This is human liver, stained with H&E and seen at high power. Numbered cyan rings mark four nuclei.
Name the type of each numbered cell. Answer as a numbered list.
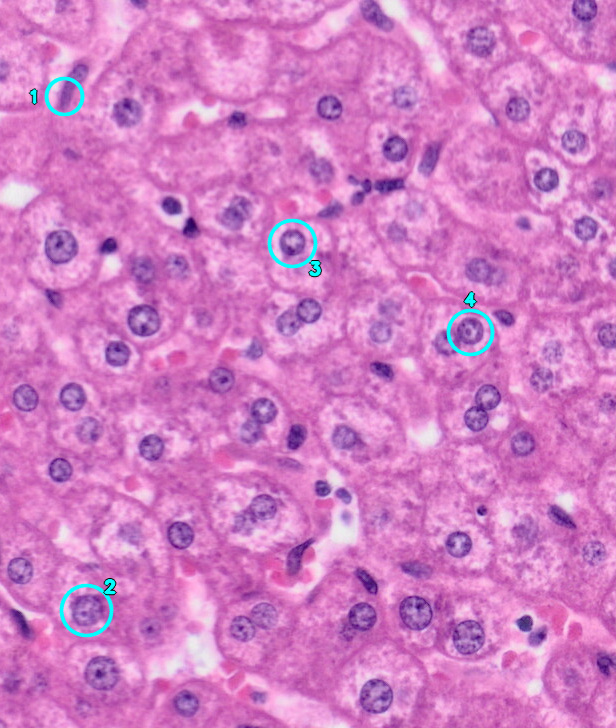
1. Kupffer cell
2. hepatocyte
3. hepatocyte
4. hepatocyte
